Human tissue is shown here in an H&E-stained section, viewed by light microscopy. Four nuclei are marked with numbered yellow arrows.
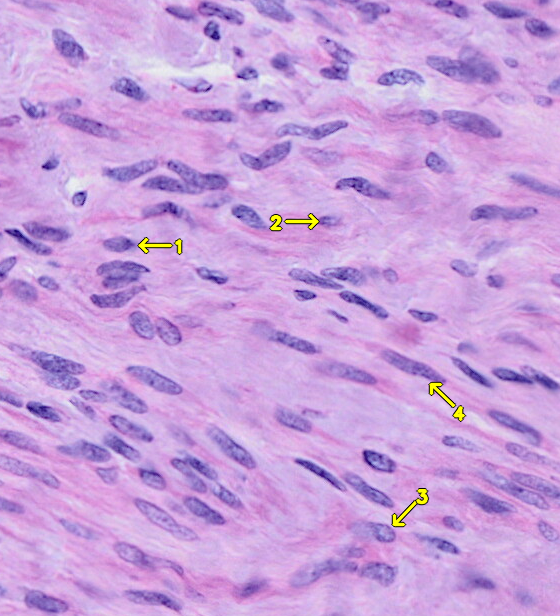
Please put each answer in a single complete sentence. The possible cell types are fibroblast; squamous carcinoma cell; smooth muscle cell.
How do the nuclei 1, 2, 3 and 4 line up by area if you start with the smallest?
The order from the smallest nucleus to the largest is 2, 3, 1, 4.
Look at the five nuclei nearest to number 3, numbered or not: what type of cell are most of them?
The majority of the five nuclei closest to number 3 belong to smooth muscle cells.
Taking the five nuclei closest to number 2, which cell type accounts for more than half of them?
Most of the five nuclei nearest to number 2 are those of fibroblasts.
